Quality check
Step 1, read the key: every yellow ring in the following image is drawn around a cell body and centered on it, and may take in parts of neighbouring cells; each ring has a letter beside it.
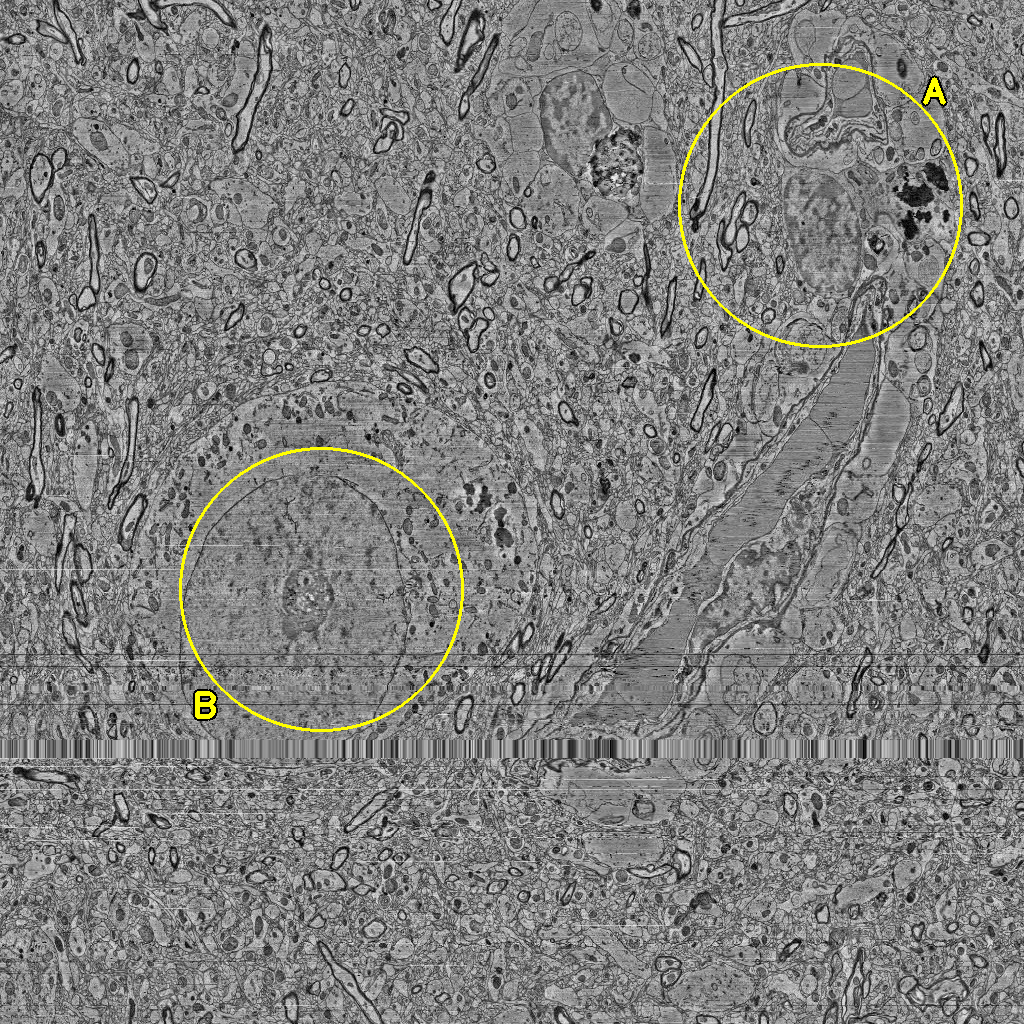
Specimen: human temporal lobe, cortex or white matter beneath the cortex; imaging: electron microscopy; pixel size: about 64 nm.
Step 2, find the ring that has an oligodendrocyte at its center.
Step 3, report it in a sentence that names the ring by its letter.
Ring A is centered on that cell.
